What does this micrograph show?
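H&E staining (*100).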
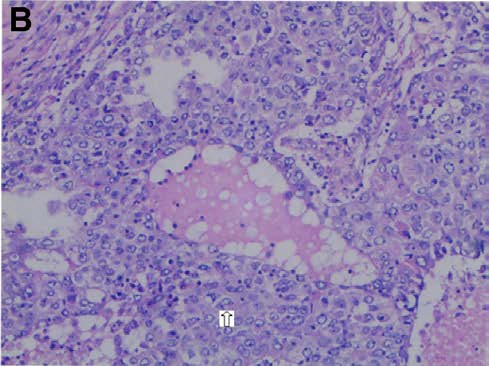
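Adenocarcinoma growing in an infiltrating pattern with cystic and lumen-like spaces. Crowded tumour cells with round to oval purple nuclei, many showing distinct nucleoli, and pale pink cytoplasm are arranged around irregular open spaces. A large central space contains pink, bubbly, vacuolated material, and other lumina are empty or partly filled. Nuclei vary in size and are crowded together, indicating marked atypia. Thin strands of fibrous stroma with elongated nuclei run between groups of tumour cells, most clearly at the upper left.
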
